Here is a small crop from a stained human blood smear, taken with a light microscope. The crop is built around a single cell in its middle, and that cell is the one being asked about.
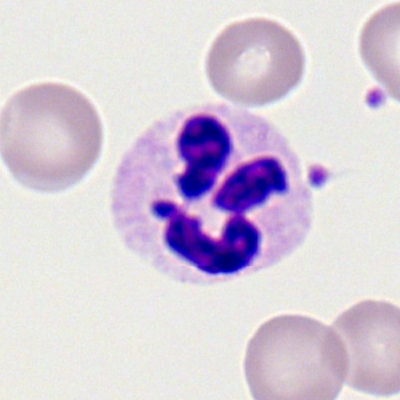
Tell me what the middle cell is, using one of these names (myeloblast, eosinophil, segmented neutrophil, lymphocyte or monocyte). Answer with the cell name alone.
segmented neutrophil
